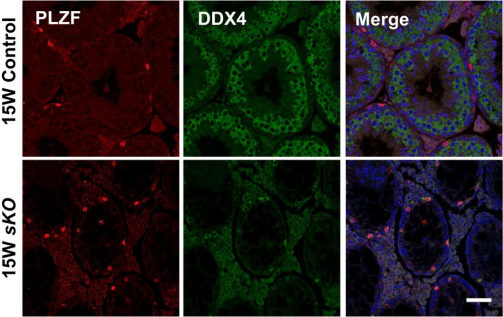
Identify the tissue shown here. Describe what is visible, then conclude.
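Round tubules in cross-section, each bounded by a thin wall. In the upper row the tubules hold many layers of cells around a central lumen. On this evidence: testes.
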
